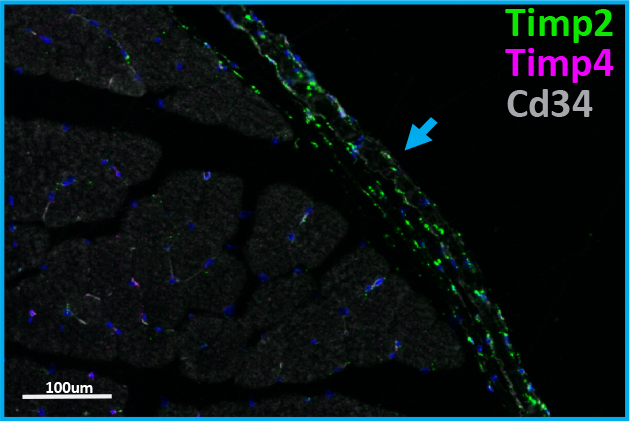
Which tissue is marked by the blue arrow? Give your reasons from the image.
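A thin layered band with elongated green-marked cells curves along the outer edge of the muscle. The band lies outside the packed muscle fibres and wraps around them. On this evidence: epimysium.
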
